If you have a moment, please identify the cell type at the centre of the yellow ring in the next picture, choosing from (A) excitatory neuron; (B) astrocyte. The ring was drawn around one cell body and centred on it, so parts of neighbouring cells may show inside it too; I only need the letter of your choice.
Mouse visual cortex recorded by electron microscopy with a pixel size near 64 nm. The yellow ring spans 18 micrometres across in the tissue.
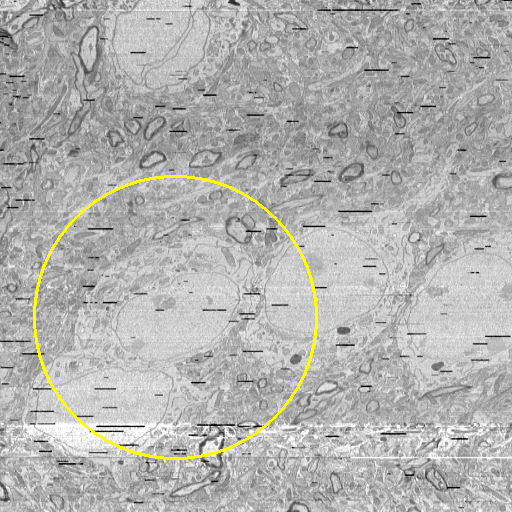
A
